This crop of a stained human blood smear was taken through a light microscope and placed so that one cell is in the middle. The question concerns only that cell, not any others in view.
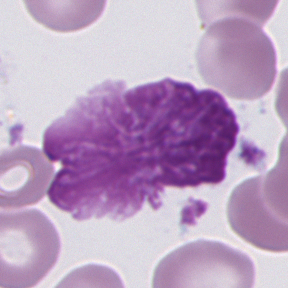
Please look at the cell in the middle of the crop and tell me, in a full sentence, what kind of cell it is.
In the crop, the cell of interest at the centre is a smudge cell.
